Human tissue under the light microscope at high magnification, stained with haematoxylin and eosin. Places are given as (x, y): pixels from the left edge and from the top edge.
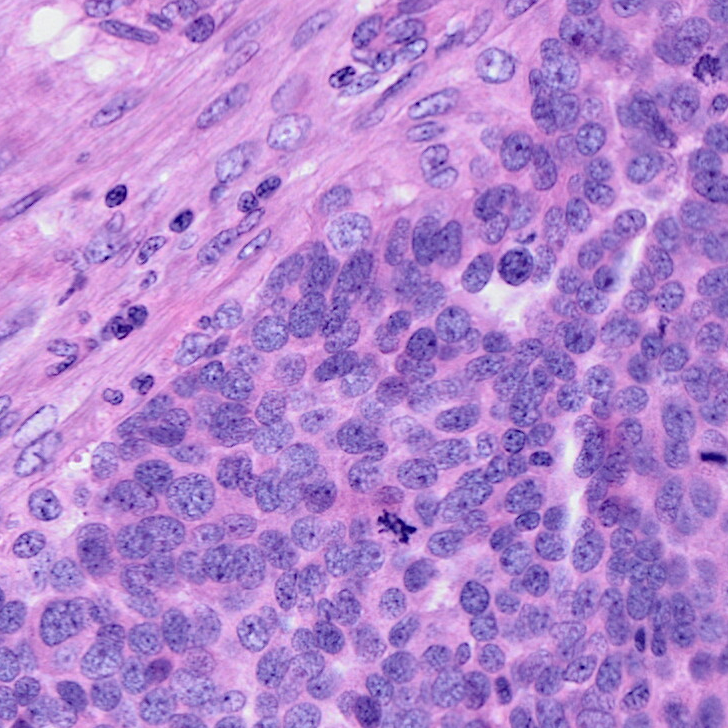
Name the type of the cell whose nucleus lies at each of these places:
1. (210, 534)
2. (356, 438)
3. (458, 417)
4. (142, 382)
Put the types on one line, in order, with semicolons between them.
carcinoma cell; carcinoma cell; carcinoma cell; lymphocyte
